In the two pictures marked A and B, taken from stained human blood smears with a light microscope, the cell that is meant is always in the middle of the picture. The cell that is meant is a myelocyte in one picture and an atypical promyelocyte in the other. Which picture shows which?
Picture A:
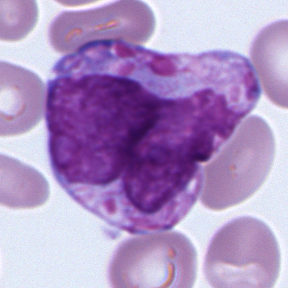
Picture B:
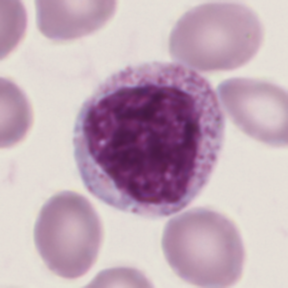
A: atypical promyelocyte
B: myelocyte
